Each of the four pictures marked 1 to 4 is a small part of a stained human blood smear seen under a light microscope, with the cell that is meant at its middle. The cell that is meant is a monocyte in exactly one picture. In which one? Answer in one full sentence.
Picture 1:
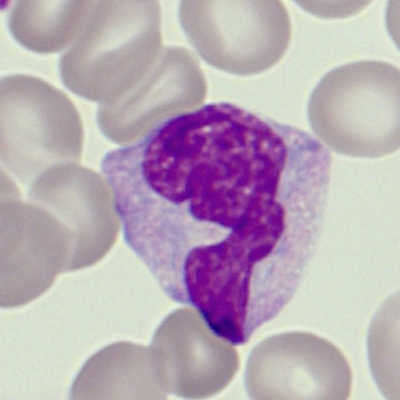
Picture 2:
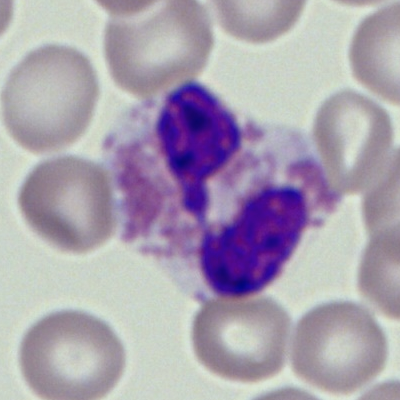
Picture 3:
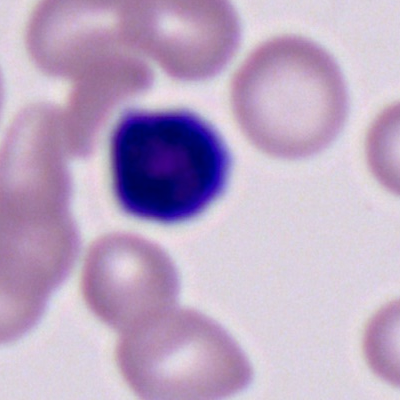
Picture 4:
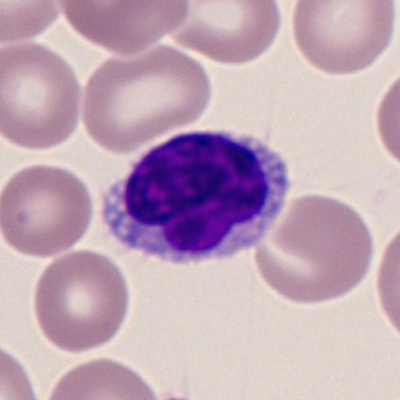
It is picture 1 that shows the monocyte.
